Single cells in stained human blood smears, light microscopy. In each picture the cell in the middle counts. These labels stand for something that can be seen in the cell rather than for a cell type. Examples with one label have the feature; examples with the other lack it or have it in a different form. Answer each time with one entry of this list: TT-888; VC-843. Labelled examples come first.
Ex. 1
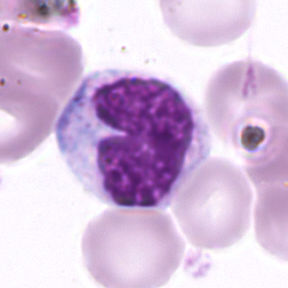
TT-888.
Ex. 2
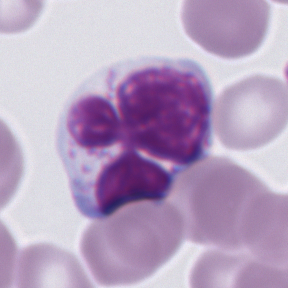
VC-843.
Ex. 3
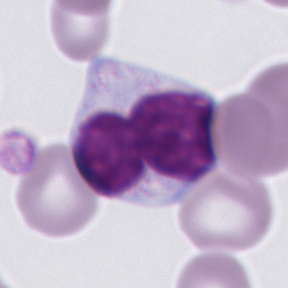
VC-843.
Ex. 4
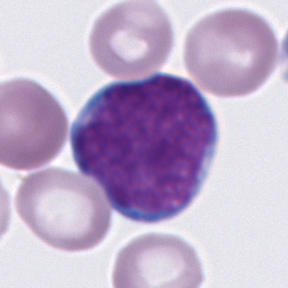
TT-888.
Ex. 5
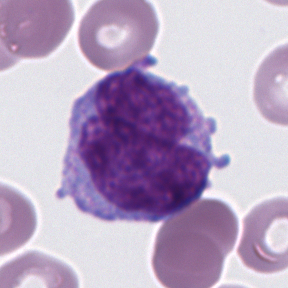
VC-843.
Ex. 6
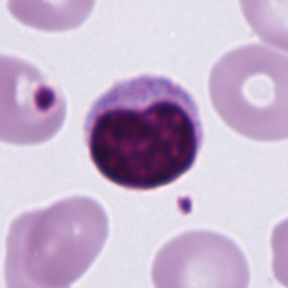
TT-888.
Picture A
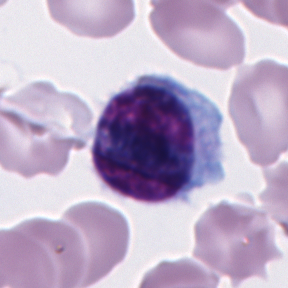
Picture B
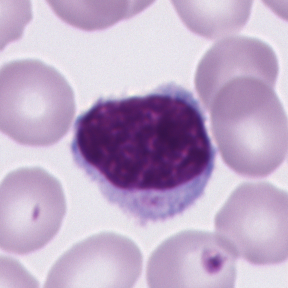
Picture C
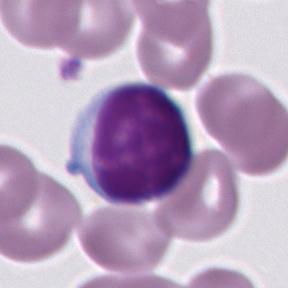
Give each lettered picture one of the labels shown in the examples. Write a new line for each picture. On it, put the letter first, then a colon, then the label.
A: TT-888.
B: TT-888.
C: TT-888.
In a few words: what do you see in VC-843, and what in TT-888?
In VC-843: lobed nucleus. In TT-888: single compact nucleus.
